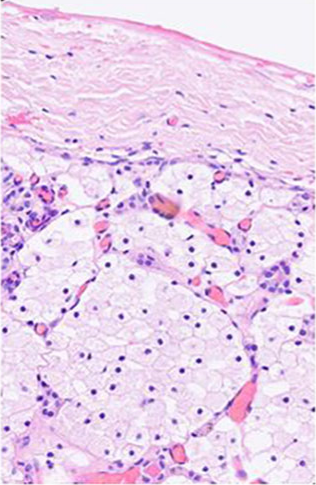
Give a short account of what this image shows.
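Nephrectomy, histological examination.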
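At the edge of the organ, a thick band of pale pink, wavy fibrous tissue covers the parenchyma. Beneath it, clusters of large foamy macrophages with pale, finely vacuolated cytoplasm and small round nuclei fill the tissue, separated by thin septa holding small blood vessels.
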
